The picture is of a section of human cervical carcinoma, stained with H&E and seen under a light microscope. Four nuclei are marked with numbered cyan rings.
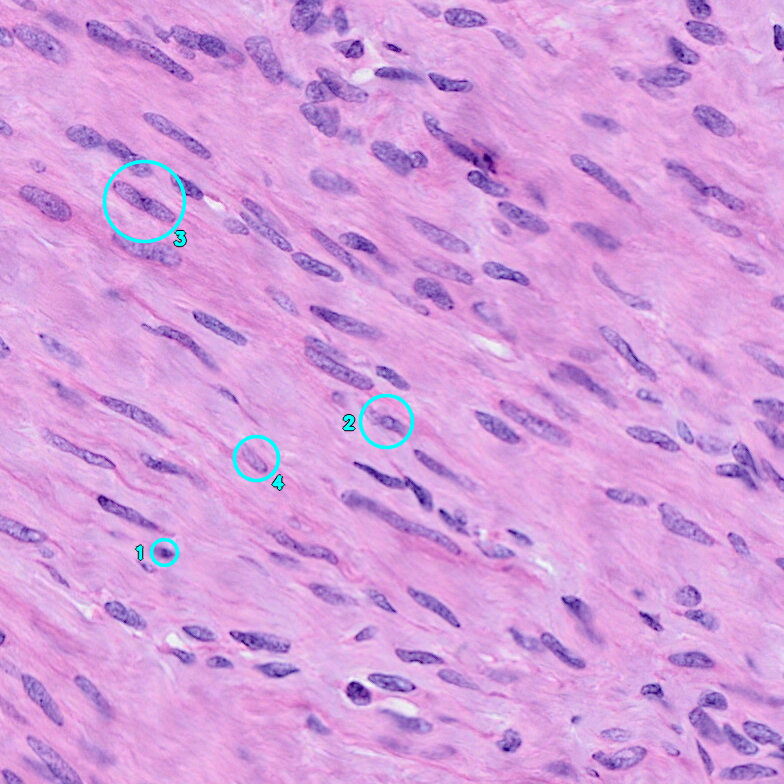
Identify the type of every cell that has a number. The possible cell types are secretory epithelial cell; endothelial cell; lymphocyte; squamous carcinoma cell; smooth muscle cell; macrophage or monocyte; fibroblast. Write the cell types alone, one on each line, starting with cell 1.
fibroblast
smooth muscle cell
smooth muscle cell
smooth muscle cell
